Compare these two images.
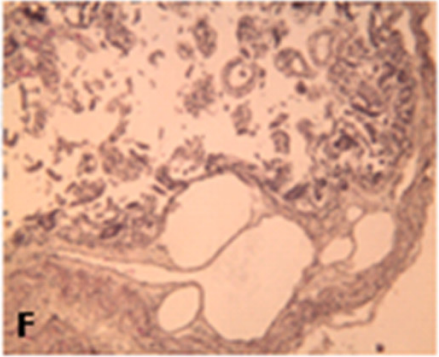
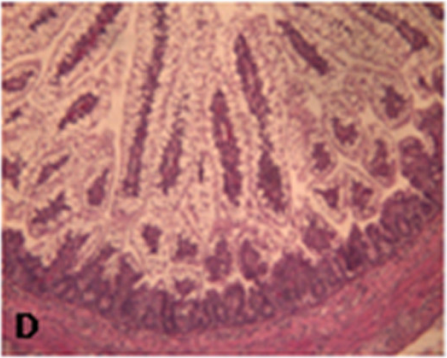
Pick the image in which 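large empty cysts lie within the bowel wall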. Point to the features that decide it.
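First image: several large clear round spaces sit in the wall beneath the mucosa. Second image: the wall is continuous solid tissue without empty spaces. The answer: the first image.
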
